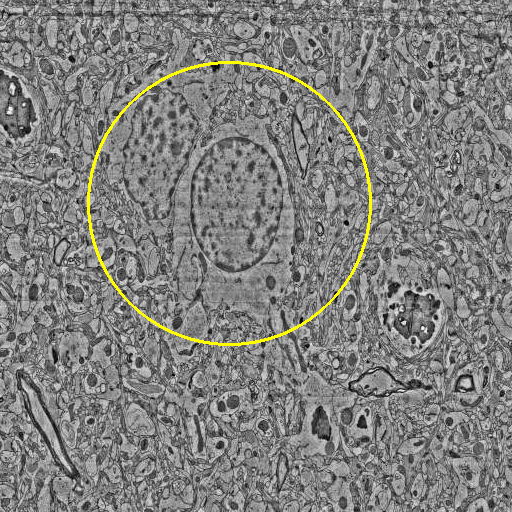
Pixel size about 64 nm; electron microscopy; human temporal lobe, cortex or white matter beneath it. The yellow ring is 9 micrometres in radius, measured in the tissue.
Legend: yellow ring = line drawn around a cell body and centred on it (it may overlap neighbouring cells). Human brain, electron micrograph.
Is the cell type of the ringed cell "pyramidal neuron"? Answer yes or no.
no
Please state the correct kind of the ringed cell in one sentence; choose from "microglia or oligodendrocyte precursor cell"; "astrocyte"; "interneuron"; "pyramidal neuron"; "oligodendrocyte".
The cell enclosed by the ring is an astrocyte.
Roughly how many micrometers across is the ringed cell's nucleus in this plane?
In this plane, roughly 8 by 6 micrometres.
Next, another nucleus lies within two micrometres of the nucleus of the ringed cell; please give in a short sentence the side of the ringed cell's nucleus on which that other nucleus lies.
The second nucleus sits to the upper left of it.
